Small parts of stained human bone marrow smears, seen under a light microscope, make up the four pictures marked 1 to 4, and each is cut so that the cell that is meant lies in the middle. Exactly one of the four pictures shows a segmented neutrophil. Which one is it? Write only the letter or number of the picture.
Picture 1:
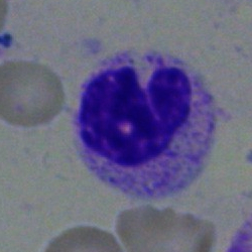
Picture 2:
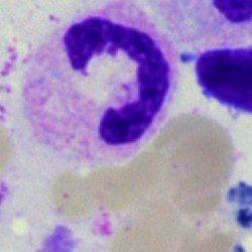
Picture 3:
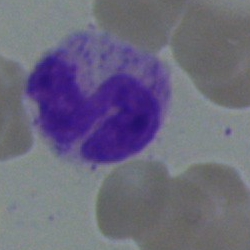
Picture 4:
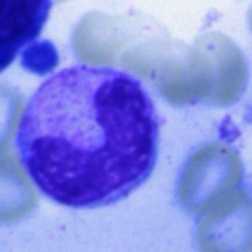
2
